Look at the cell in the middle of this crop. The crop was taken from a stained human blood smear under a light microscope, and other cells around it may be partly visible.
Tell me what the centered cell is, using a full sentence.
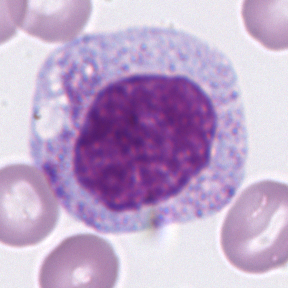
The cell shown in the center of this light-microscope crop is a myelocyte.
